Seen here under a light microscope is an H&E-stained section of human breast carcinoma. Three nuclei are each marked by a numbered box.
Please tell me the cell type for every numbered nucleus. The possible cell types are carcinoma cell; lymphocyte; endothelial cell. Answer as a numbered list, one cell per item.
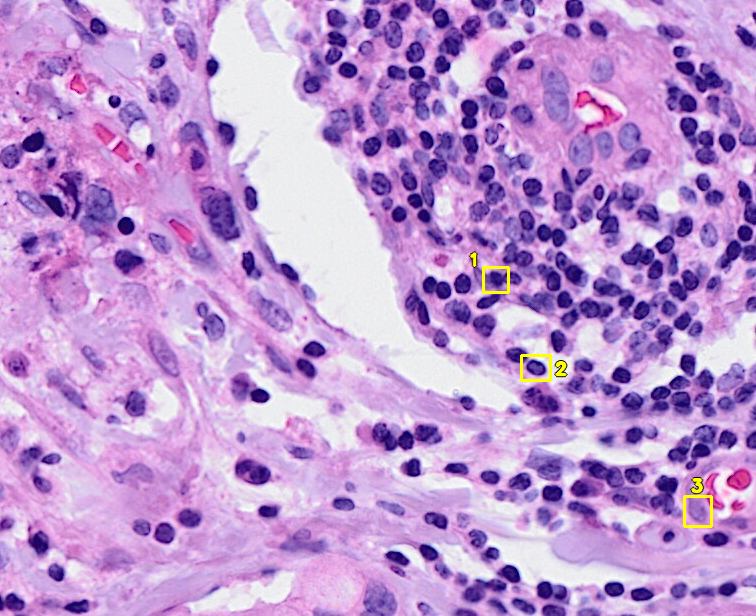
1. lymphocyte
2. lymphocyte
3. endothelial cell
